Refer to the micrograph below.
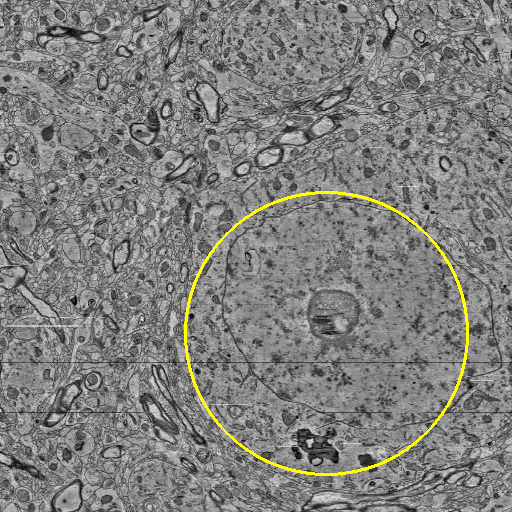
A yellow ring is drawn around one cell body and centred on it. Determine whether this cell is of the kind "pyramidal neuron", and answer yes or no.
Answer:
yes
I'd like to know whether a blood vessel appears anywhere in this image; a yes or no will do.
No, there is none.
